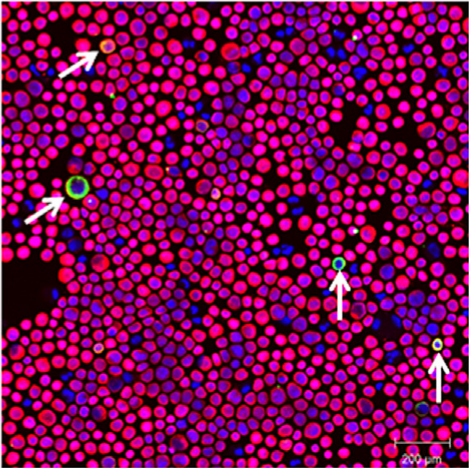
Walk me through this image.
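Some cells appear purple-blue with weaker red. Scattered among them, a few single cells carry a distinct bright green ring around their edge. White arrows point to these green-rimmed cells. One of them is larger than its neighbours. Irregular dark gaps lie between groups of cells.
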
